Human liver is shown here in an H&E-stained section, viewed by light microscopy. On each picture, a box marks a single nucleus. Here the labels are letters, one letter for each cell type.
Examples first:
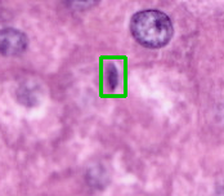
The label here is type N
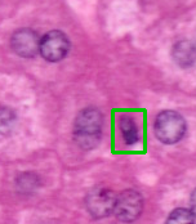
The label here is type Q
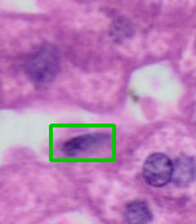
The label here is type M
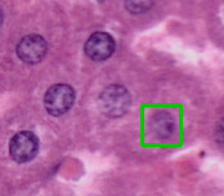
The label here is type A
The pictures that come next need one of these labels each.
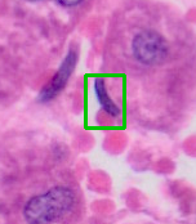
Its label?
type N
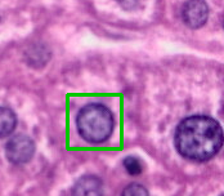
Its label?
type A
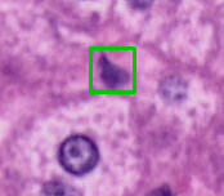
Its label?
type N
